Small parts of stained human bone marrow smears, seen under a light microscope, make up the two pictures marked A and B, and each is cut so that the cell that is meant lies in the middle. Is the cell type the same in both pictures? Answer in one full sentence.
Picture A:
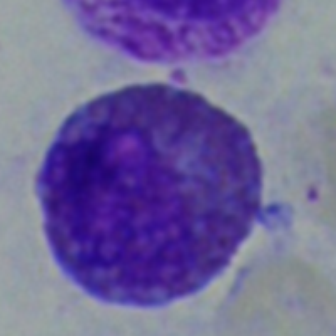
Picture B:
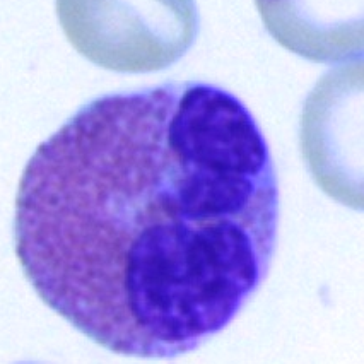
Yes, both cells are eosinophils.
